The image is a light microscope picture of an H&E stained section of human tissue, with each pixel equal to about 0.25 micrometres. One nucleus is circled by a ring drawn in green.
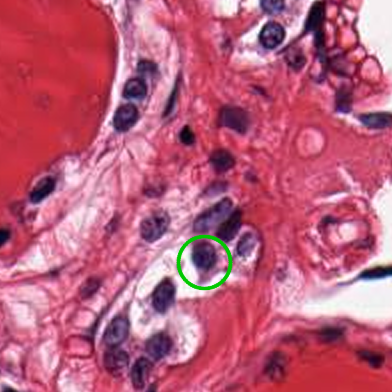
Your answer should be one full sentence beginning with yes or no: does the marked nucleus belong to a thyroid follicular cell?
Yes, the marked nucleus belongs to a thyroid follicular cell.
